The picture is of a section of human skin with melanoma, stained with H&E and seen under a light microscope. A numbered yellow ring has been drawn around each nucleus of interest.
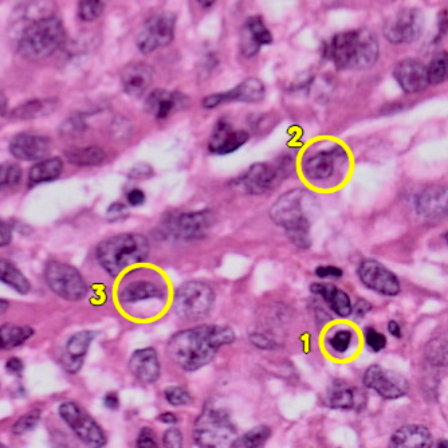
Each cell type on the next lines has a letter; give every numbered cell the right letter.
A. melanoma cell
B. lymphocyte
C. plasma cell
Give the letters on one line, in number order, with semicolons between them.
B; A; A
